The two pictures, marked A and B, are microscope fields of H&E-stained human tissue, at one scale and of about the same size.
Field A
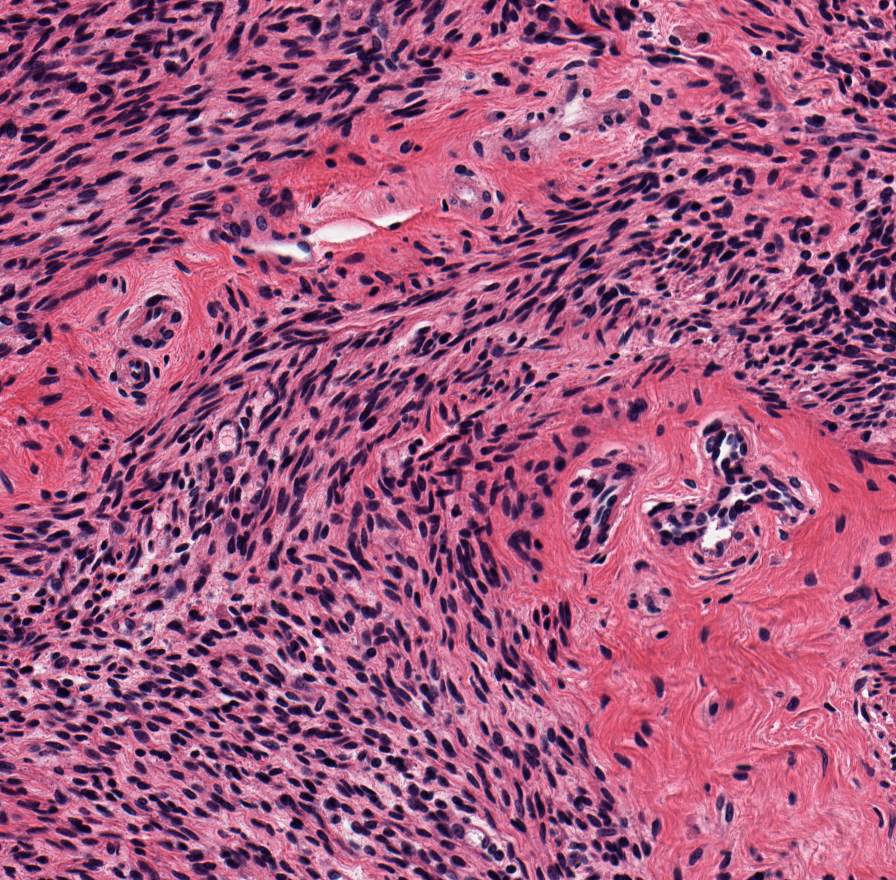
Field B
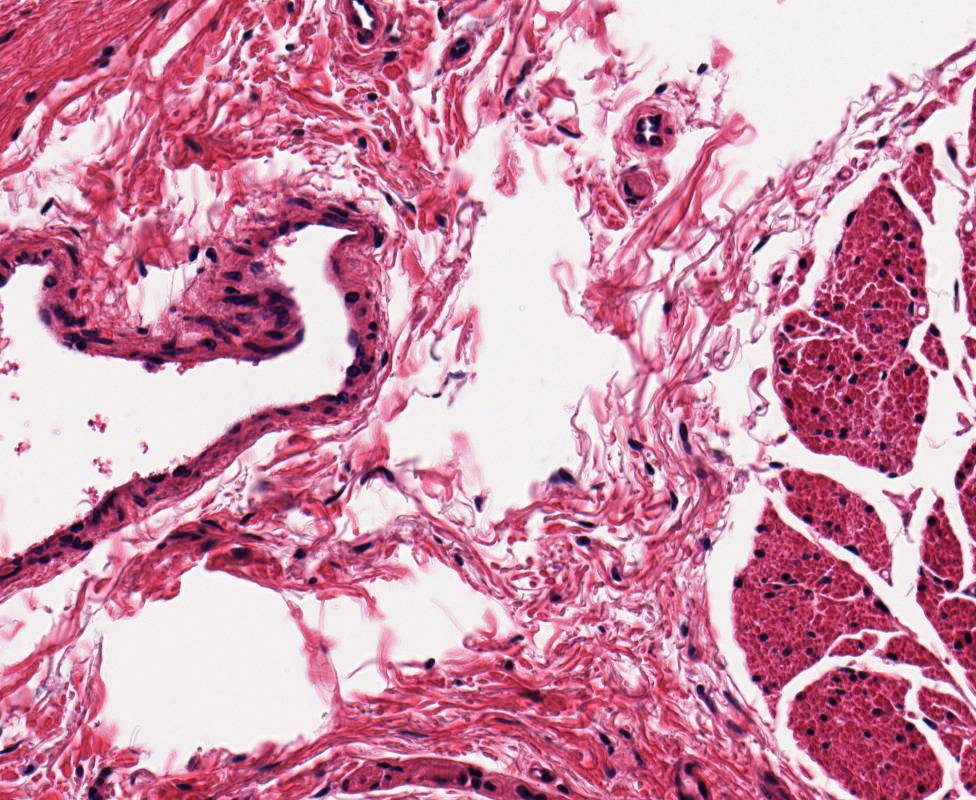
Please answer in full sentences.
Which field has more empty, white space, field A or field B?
Unstained space takes up more of field B than of field A.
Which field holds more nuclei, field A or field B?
The larger number of nuclei is in field A.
